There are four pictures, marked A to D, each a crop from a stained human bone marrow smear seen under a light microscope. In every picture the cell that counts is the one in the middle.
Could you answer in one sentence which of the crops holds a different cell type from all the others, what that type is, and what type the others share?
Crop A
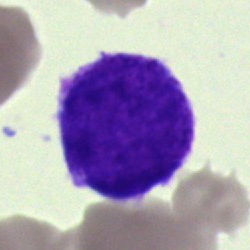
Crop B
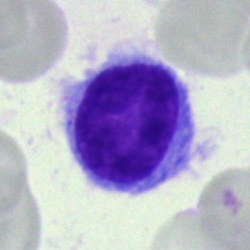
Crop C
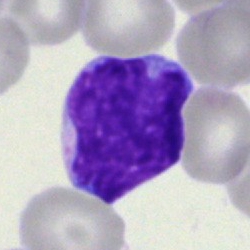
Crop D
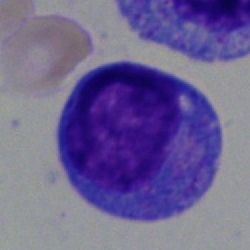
Here the outlier is crop B, which is a hairy cell, and the rest are blasts.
